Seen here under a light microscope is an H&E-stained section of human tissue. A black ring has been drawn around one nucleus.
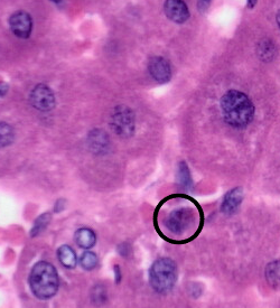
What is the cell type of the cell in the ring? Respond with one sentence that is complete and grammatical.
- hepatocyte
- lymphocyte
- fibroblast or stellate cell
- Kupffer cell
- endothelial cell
Assigned to a cell type, the cell in the ring is a fibroblast or stellate cell.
